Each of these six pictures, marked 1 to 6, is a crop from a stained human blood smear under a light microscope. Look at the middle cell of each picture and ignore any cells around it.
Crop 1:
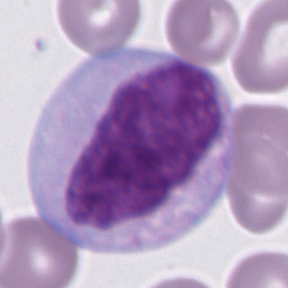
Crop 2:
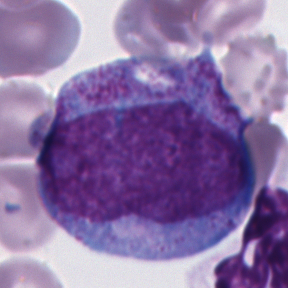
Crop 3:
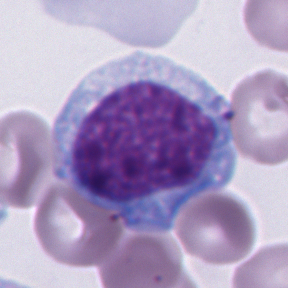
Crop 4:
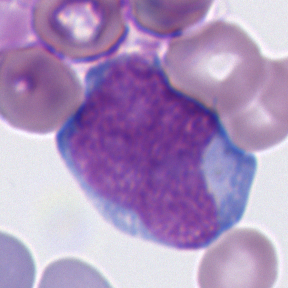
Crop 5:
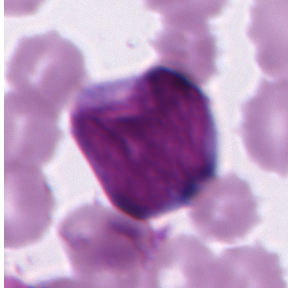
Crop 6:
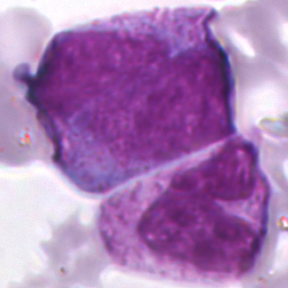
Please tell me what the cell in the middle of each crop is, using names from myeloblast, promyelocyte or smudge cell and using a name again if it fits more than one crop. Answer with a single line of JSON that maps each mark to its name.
{"1": "promyelocyte", "2": "promyelocyte", "3": "promyelocyte", "4": "myeloblast", "5": "myeloblast", "6": "promyelocyte"}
